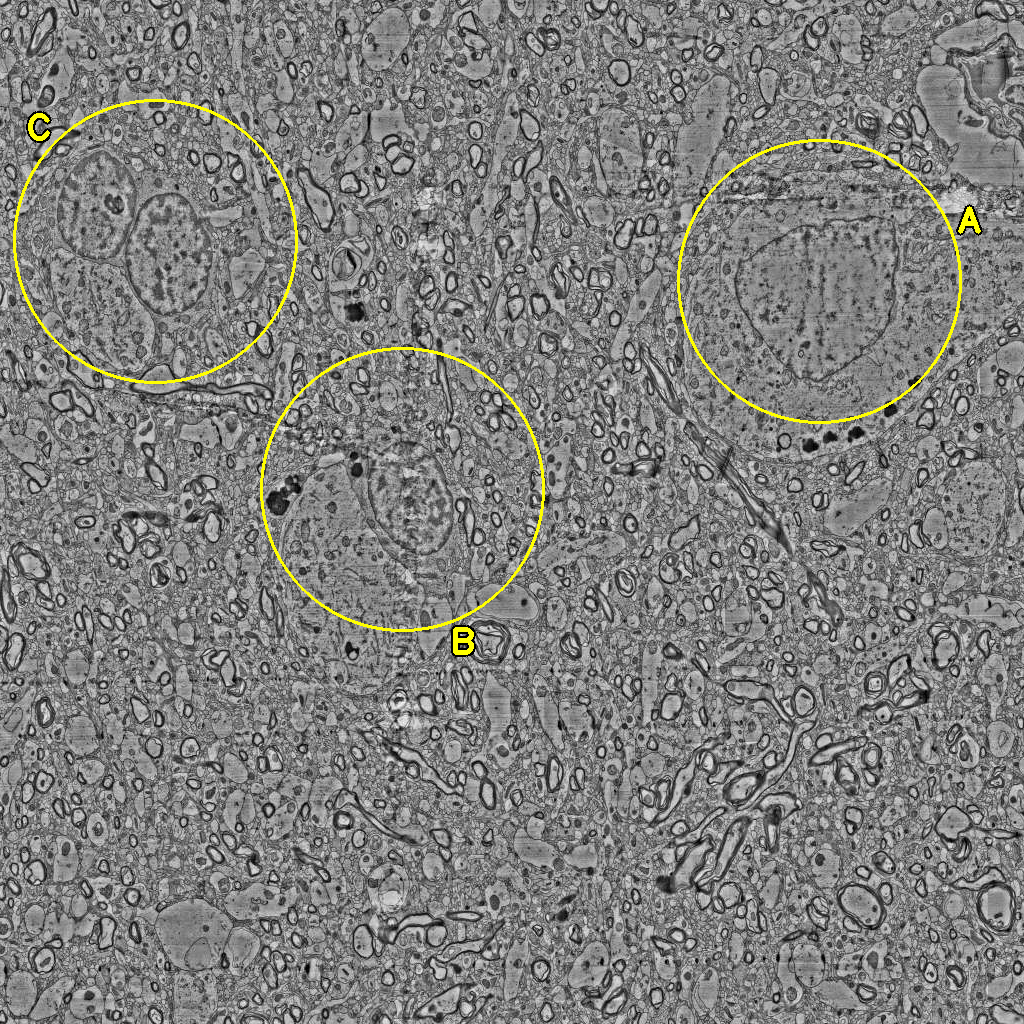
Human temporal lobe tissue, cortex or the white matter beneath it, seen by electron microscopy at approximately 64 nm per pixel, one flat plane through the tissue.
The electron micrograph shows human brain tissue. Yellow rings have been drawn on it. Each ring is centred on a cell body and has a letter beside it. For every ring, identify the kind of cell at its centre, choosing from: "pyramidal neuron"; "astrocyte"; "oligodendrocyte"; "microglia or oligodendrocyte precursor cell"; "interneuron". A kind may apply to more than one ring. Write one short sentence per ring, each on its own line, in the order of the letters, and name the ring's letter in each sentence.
Ring A is centred on a pyramidal neuron.
Ring B is centred on an oligodendrocyte.
Ring C is centred on an oligodendrocyte.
